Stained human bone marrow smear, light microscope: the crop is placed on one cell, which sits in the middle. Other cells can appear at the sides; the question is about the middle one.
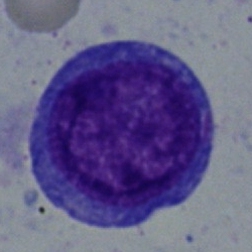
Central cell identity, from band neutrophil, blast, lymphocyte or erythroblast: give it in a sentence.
The middle position in this crop is taken by a blast.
